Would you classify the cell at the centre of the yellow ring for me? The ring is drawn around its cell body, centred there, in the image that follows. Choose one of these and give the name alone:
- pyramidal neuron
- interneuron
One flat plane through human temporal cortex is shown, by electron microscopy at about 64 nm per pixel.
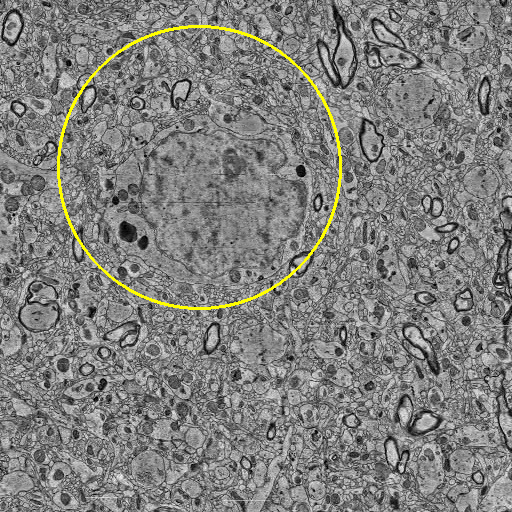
interneuron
